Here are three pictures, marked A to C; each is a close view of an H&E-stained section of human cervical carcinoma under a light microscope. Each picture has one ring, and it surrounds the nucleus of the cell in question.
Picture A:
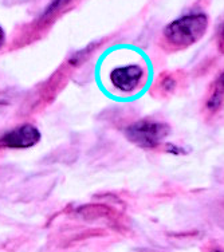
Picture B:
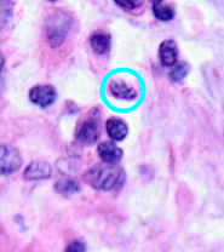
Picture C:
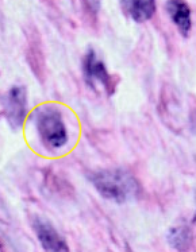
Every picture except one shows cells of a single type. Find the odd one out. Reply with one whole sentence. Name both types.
The different one is picture C; it shows a “macrophage or monocyte”, whereas all the others show lymphocytes.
